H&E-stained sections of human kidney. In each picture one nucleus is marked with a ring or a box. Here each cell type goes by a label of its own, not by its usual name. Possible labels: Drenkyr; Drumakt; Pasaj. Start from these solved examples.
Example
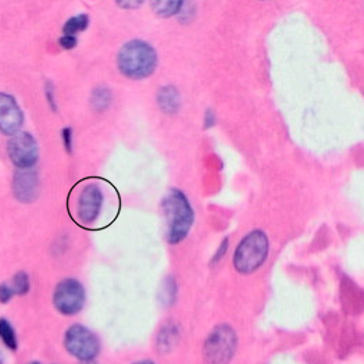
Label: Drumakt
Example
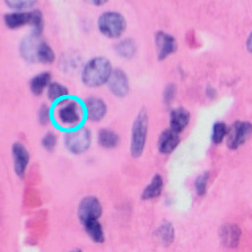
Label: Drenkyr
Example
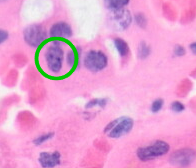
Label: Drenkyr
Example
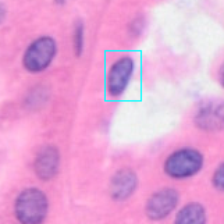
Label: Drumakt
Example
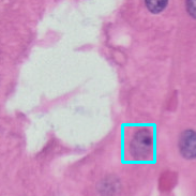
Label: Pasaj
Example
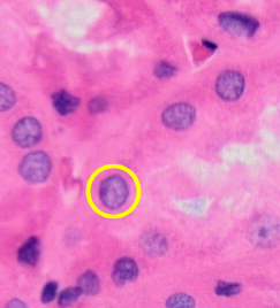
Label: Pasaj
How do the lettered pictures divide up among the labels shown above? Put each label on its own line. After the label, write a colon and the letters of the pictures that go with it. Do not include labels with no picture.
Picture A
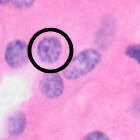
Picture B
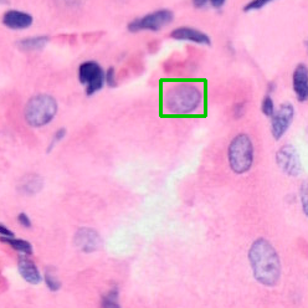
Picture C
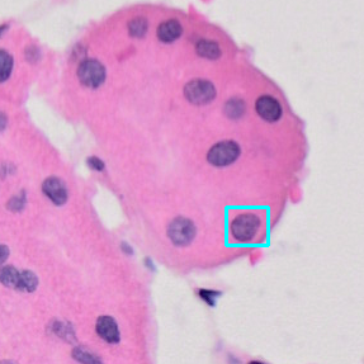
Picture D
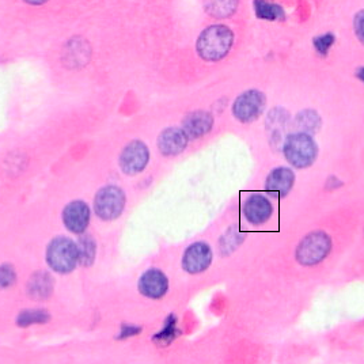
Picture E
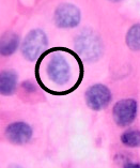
Drenkyr: A, D, E
Pasaj: B, C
